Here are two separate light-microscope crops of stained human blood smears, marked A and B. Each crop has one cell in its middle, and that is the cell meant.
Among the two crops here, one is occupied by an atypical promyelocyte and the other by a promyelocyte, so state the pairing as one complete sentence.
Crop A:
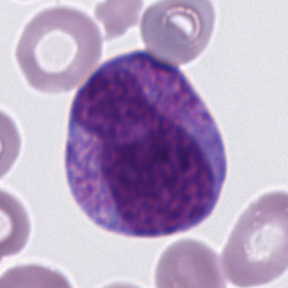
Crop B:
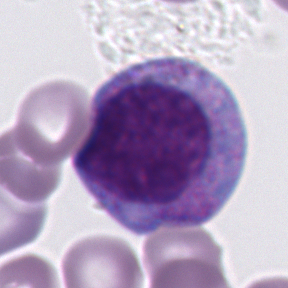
Classification: crop A is an atypical promyelocyte, crop B is a promyelocyte.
